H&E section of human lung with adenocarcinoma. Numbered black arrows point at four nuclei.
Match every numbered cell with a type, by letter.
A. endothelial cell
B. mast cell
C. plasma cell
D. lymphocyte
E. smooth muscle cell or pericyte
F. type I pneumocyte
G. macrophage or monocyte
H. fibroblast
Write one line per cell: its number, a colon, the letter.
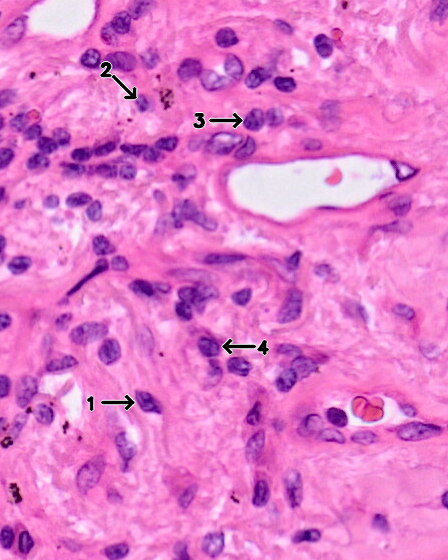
1: D
2: D
3: D
4: C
